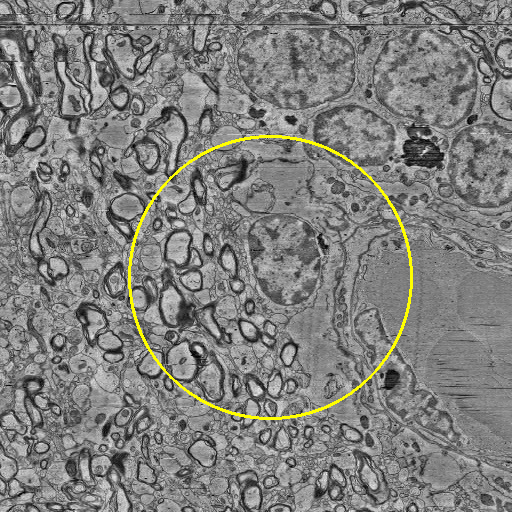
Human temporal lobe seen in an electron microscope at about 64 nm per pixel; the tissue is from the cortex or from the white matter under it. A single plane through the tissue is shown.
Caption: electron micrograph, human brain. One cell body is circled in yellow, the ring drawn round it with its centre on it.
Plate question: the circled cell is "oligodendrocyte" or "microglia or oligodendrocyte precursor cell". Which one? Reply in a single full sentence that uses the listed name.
The yellow ring on the plate is centred on a microglial cell or oligodendrocyte precursor cell, going by the listed names.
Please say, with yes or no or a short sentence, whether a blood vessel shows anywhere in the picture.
Yes, a blood vessel is present in this picture.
